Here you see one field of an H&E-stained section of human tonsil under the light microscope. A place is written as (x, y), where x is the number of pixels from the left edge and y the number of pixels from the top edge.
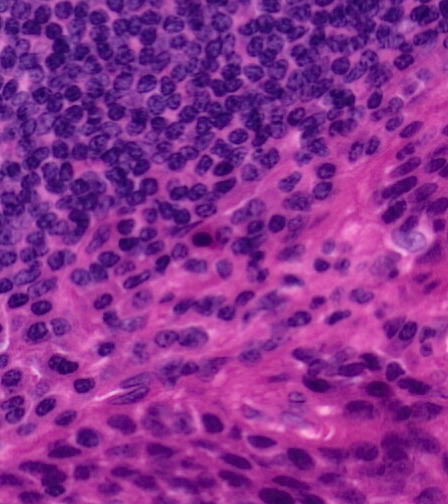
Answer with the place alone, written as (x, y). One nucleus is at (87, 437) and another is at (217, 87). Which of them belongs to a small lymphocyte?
(217, 87)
